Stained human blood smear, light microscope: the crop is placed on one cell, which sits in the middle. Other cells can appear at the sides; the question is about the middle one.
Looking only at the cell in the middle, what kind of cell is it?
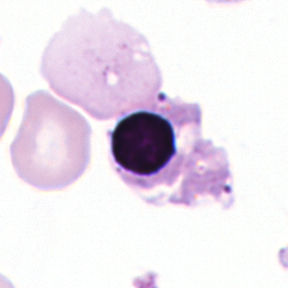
normoblast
